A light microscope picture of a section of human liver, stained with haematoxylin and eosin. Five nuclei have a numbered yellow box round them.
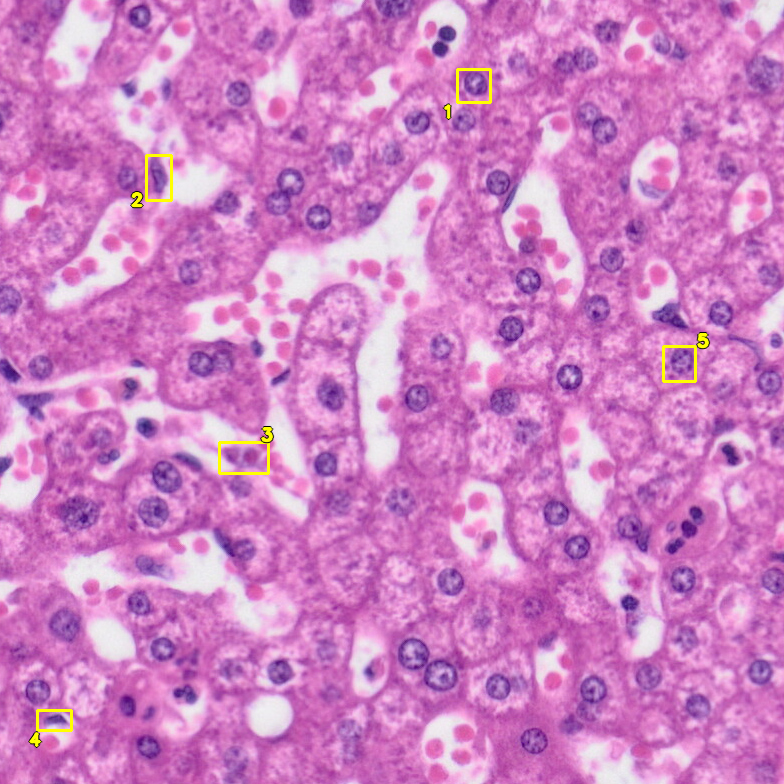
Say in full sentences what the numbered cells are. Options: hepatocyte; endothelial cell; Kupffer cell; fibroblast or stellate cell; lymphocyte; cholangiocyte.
Cell 1 is a hepatocyte, cell 2 is a Kupffer cell, cell 3 is a Kupffer cell, cell 4 is an endothelial cell and cell 5 is a hepatocyte.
